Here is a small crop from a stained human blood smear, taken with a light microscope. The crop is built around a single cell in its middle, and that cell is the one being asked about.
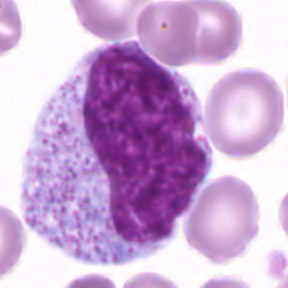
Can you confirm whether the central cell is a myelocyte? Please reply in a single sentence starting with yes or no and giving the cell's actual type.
Yes, the cell at the middle is a myelocyte.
